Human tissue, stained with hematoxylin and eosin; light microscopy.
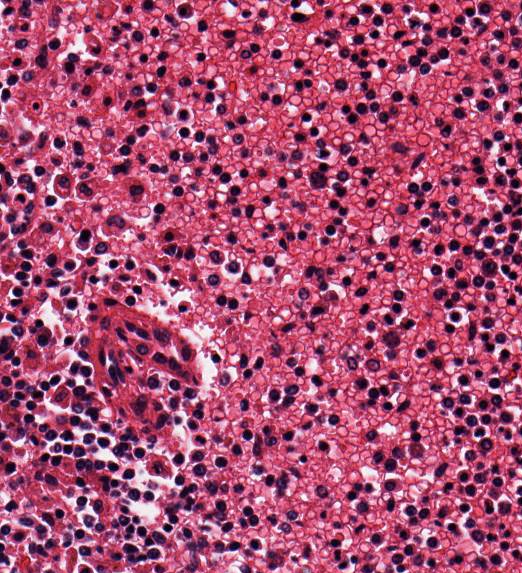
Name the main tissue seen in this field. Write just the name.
red pulp of the spleen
